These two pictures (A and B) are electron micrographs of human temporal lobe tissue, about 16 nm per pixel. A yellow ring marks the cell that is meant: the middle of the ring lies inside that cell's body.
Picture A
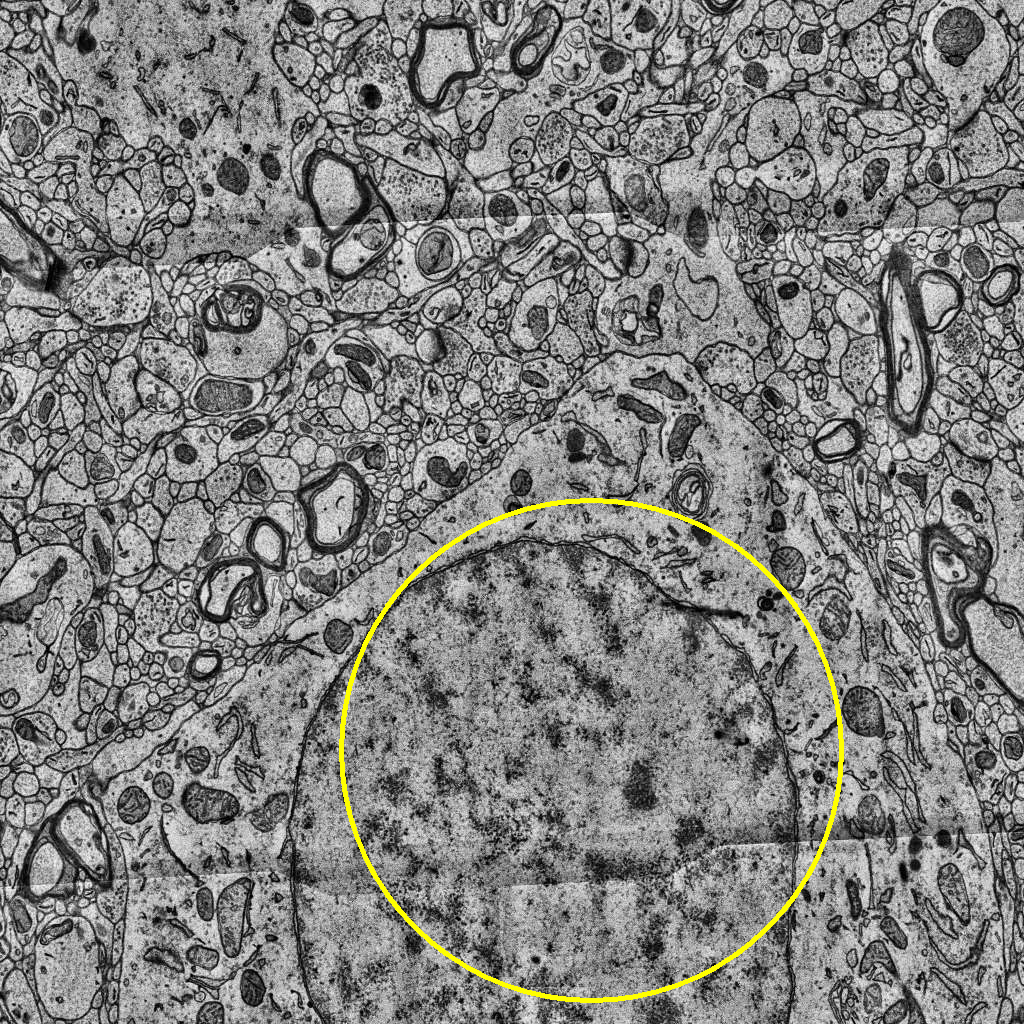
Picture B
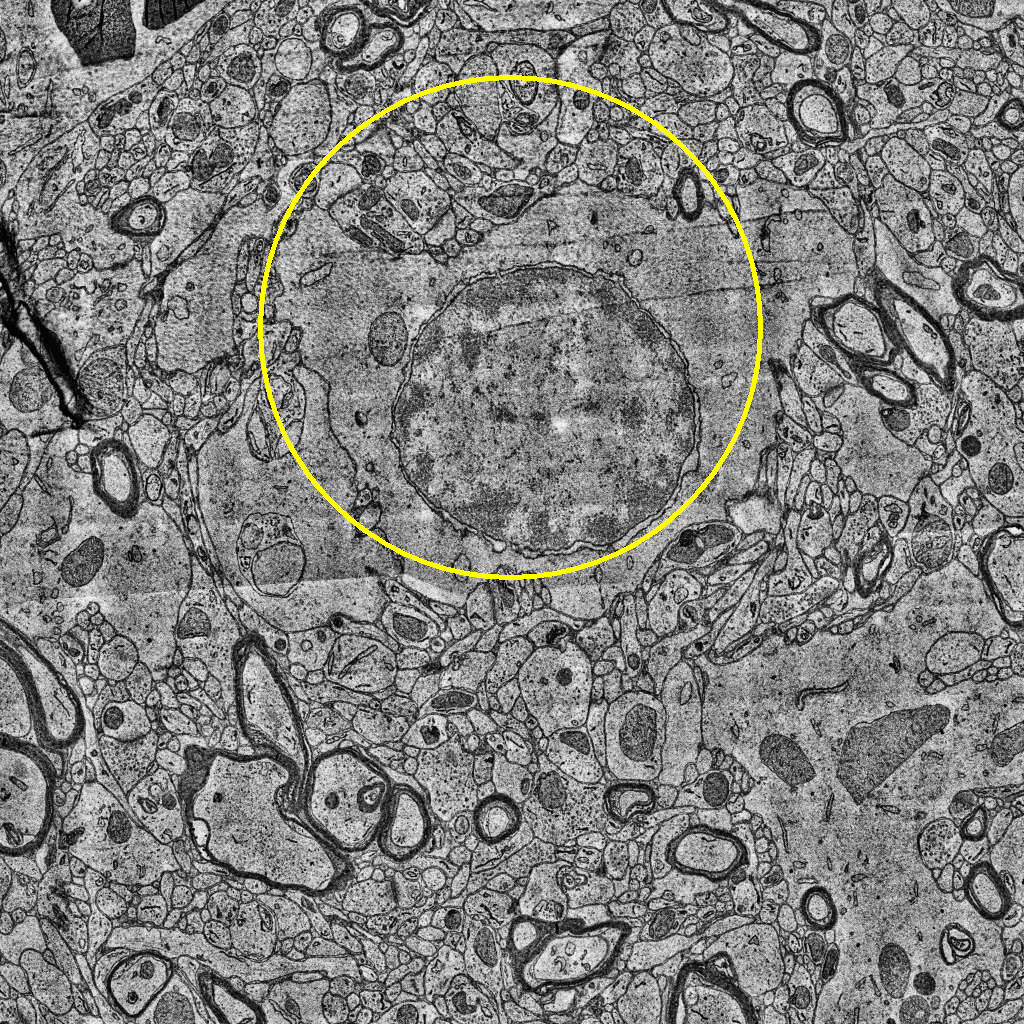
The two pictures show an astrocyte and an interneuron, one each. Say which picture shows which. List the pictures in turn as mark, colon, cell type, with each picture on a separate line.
A: interneuron
B: astrocyte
